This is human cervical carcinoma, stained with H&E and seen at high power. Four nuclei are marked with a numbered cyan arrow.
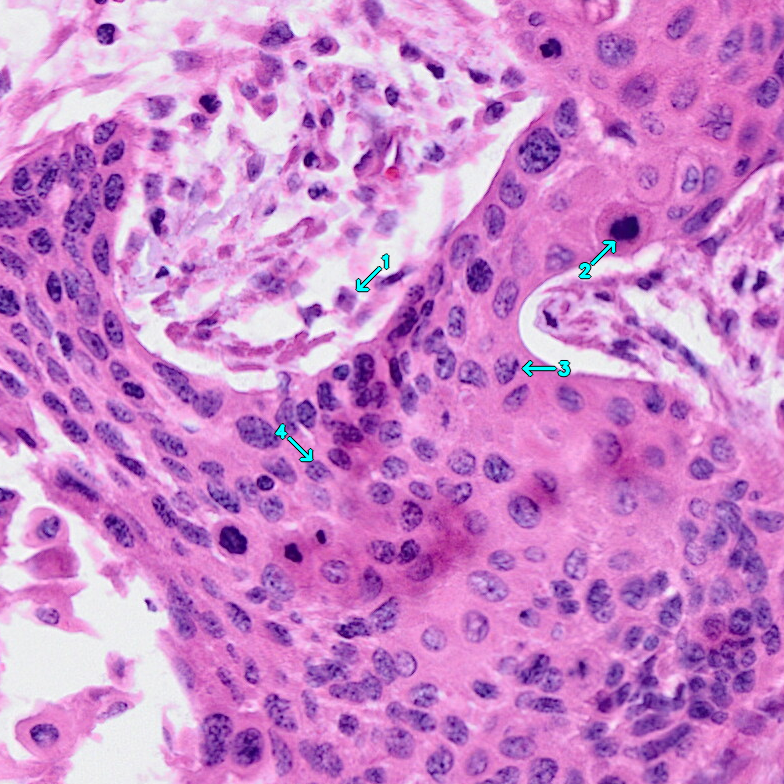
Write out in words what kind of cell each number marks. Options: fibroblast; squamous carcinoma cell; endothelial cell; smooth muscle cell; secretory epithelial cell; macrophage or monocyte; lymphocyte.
Cell 1 is a fibroblast. Cells 2, 3 and 4 are squamous carcinoma cells.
